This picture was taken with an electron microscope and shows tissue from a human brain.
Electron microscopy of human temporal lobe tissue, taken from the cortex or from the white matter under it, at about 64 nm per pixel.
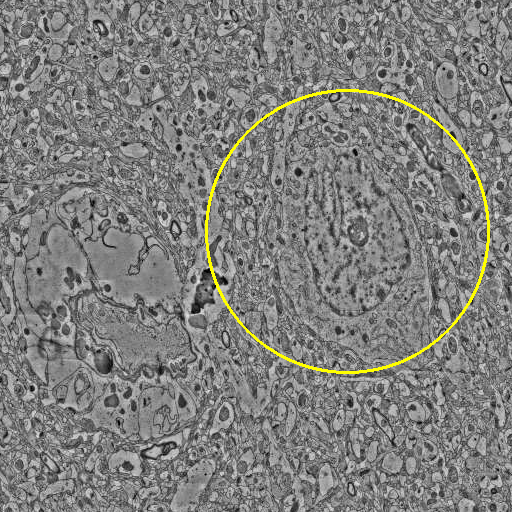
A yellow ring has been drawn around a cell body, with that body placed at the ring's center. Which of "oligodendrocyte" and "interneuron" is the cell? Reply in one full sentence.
In this picture, an interneuron is the cell at the center of the yellow ring.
